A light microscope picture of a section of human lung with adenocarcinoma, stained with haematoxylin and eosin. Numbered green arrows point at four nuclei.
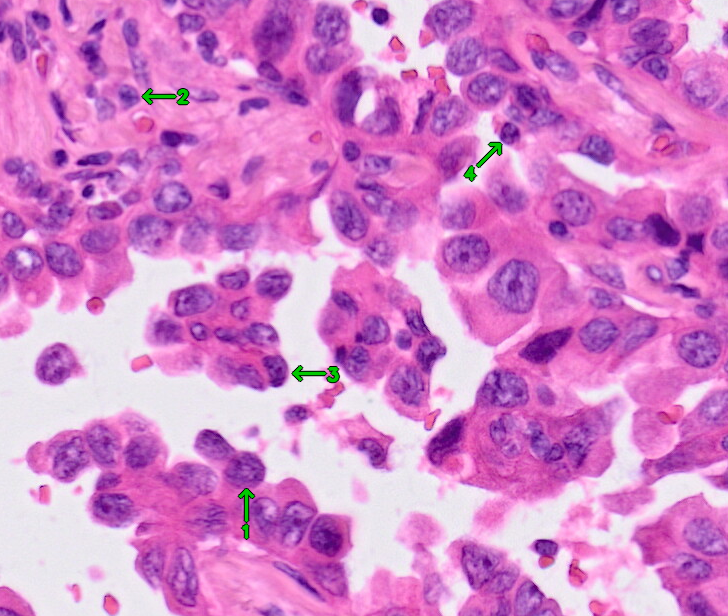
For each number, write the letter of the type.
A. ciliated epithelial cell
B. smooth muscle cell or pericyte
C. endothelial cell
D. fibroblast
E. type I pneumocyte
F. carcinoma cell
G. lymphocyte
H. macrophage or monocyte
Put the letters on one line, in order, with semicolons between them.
F; G; F; G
